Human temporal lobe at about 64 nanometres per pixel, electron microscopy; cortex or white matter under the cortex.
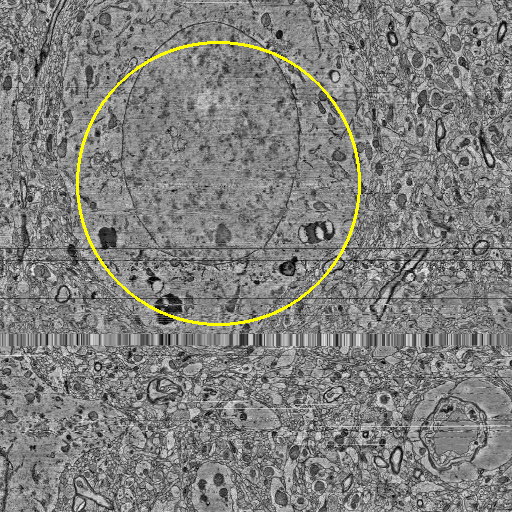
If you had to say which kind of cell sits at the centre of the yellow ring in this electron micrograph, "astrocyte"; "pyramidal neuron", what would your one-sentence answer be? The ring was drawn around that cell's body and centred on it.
The cell sitting at the centre of the ring is a pyramidal neuron.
